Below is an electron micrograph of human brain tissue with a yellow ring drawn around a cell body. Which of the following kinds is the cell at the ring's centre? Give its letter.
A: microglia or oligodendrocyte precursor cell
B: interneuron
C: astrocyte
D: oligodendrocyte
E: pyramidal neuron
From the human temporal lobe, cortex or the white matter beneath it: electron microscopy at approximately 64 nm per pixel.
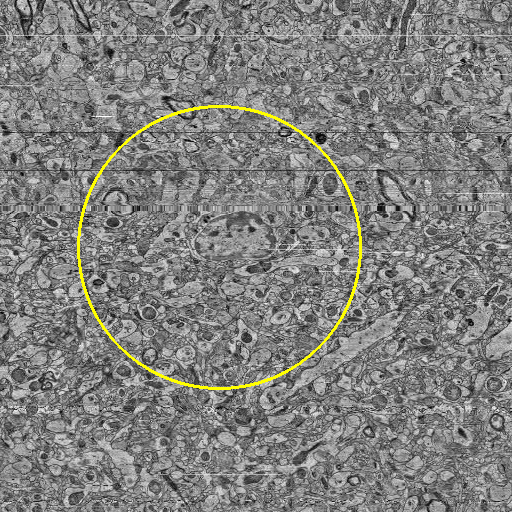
A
